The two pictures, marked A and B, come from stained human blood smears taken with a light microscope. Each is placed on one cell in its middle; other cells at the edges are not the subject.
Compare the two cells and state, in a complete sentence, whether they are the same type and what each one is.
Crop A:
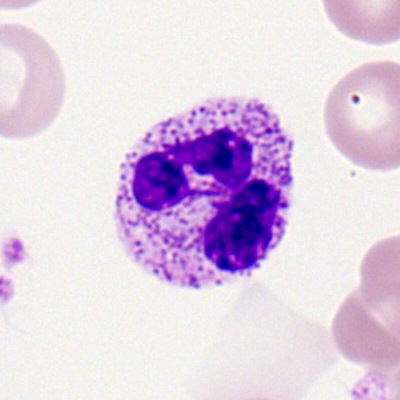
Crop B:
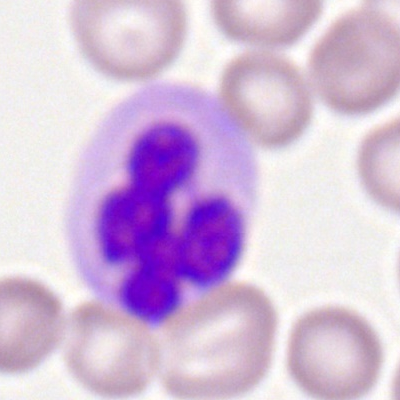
No, just to correct that: crop A shows a segmented neutrophil, crop B shows a monocyte.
